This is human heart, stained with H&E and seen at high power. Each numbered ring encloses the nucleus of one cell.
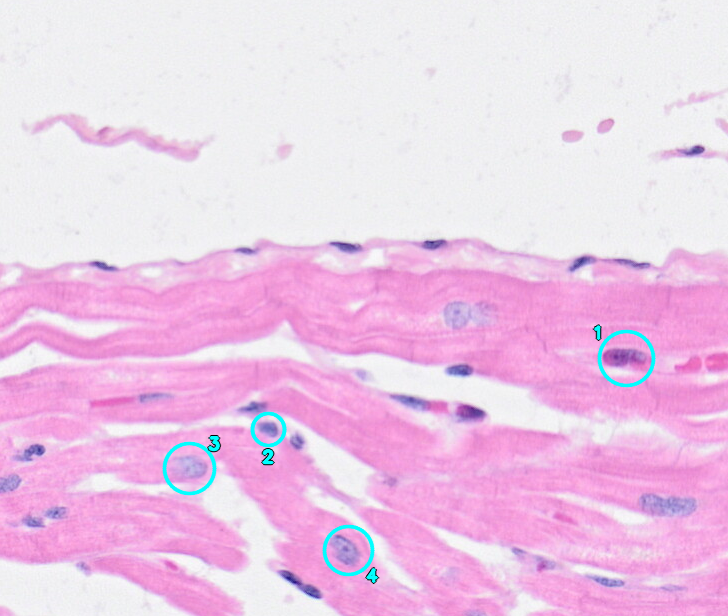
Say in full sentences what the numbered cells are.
Cell 1 is an endothelial cell, cell 2 is a fibroblast, cell 3 is a cardiomyocyte and cell 4 is a cardiomyocyte.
